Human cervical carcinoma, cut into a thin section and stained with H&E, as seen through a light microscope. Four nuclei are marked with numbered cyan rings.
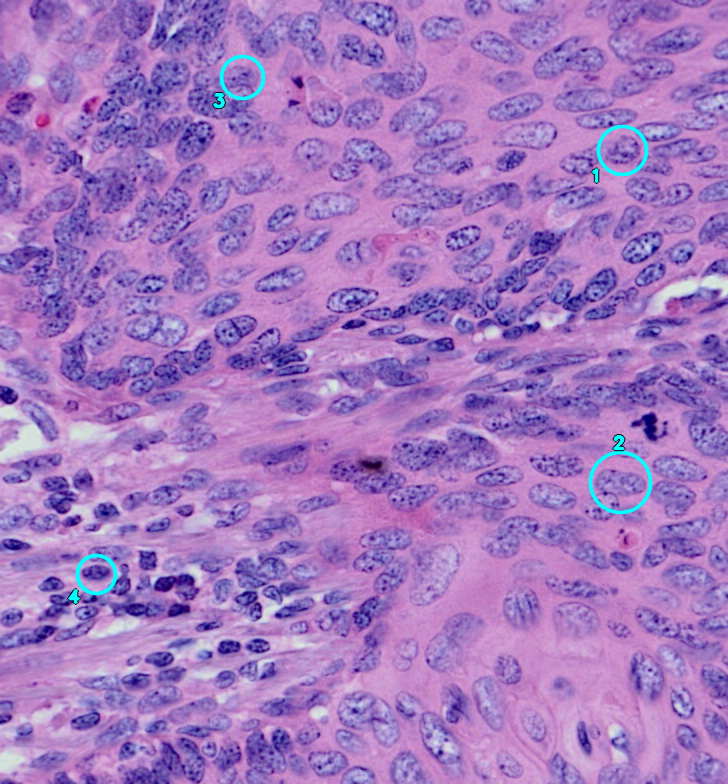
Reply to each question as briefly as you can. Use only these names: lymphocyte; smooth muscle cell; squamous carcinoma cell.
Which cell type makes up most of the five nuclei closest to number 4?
lymphocyte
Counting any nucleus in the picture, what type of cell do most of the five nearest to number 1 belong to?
squamous carcinoma cell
